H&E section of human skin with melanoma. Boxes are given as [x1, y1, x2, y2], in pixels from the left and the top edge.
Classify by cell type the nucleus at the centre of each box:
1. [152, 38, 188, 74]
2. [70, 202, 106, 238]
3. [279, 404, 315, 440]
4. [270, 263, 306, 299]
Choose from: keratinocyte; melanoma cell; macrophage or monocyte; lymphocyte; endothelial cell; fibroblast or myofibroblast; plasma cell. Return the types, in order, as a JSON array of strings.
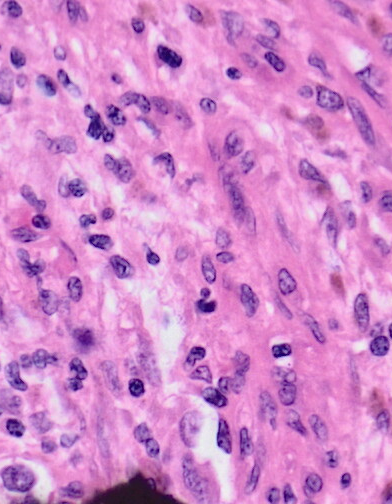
["plasma cell", "lymphocyte", "endothelial cell", "endothelial cell"]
